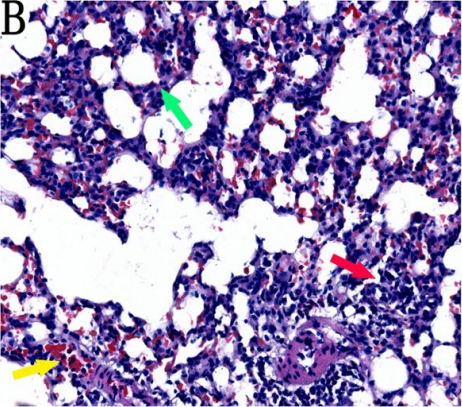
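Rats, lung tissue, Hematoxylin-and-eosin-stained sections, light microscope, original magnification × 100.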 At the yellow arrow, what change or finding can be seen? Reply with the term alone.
Alveolar hemorrhage.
